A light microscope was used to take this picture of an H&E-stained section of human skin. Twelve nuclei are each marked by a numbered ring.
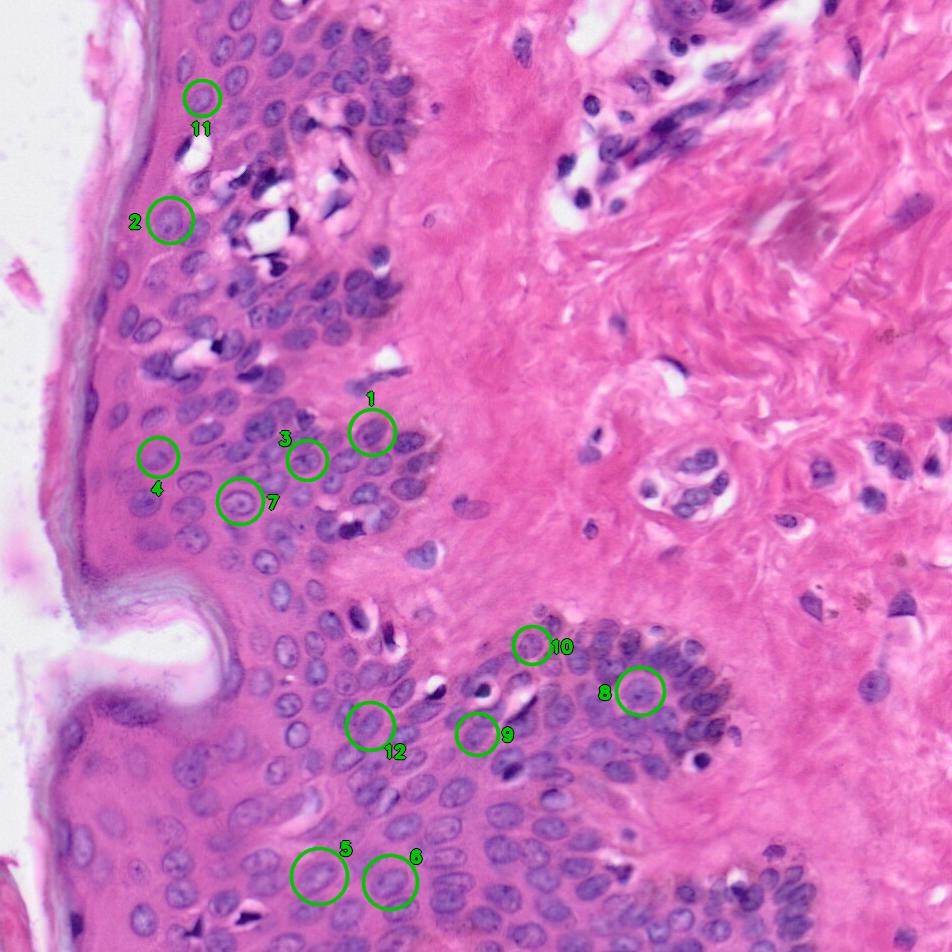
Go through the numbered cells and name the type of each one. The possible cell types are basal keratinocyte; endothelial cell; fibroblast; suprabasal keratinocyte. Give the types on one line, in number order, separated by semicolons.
basal keratinocyte; suprabasal keratinocyte; basal keratinocyte; suprabasal keratinocyte; suprabasal keratinocyte; suprabasal keratinocyte; suprabasal keratinocyte; basal keratinocyte; basal keratinocyte; basal keratinocyte; suprabasal keratinocyte; suprabasal keratinocyte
